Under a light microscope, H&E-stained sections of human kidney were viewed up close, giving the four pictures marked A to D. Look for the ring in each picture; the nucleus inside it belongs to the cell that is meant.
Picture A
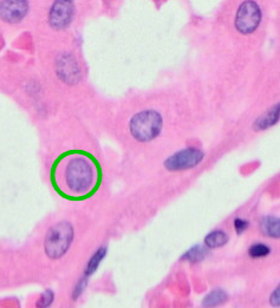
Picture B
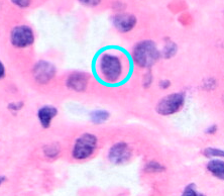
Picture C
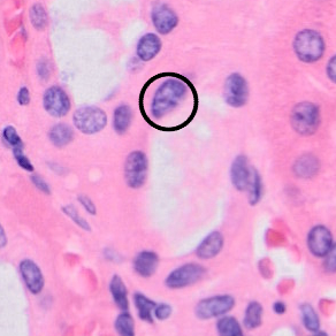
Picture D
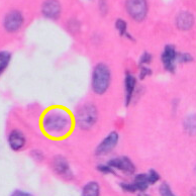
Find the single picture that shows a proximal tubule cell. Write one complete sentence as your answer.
Picture A shows the proximal tubule cell.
